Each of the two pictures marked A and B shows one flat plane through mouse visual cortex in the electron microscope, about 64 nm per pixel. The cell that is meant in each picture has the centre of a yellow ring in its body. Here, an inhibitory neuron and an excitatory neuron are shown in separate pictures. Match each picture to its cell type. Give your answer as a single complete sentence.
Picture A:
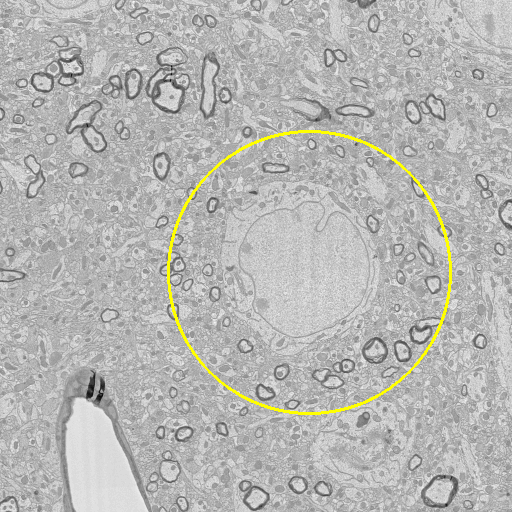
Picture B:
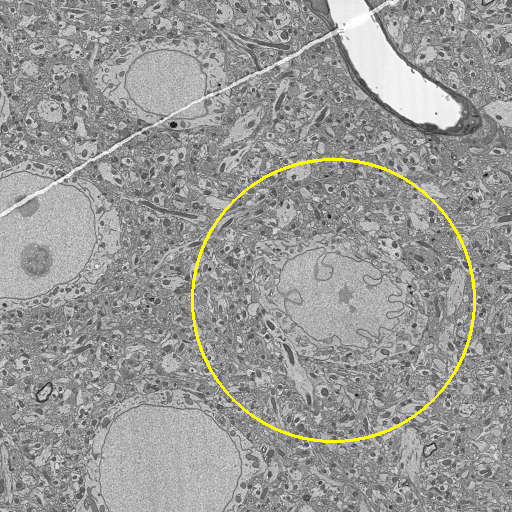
The cell in picture A is an excitatory neuron, and the one in picture B is an inhibitory neuron.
